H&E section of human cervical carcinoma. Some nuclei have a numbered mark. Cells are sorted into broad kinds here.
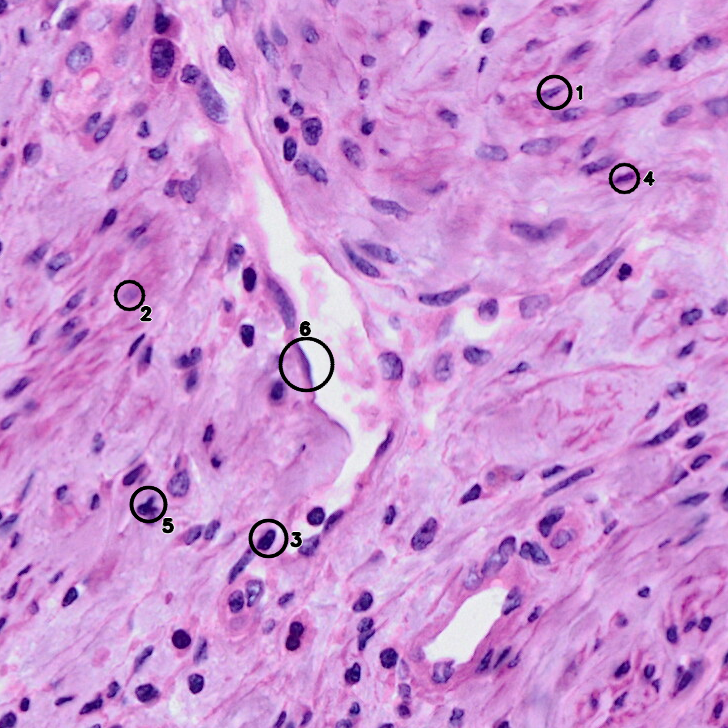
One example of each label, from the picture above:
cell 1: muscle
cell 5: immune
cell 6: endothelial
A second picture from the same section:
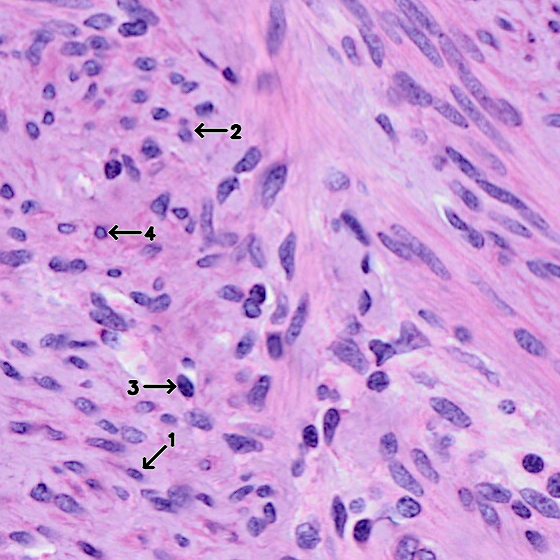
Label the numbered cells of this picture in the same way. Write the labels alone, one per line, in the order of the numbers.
muscle
muscle
immune
muscle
